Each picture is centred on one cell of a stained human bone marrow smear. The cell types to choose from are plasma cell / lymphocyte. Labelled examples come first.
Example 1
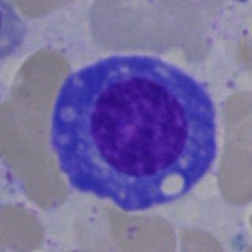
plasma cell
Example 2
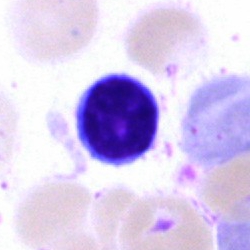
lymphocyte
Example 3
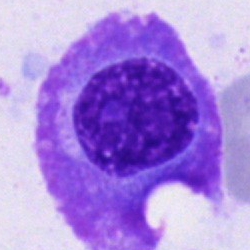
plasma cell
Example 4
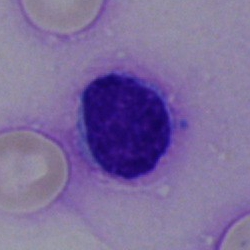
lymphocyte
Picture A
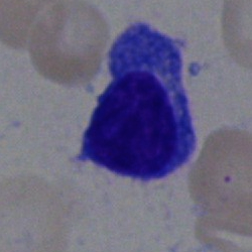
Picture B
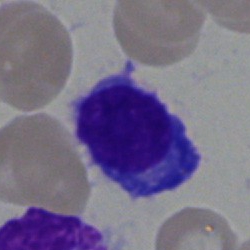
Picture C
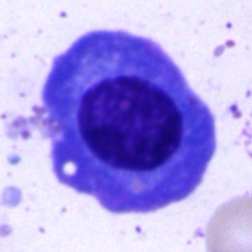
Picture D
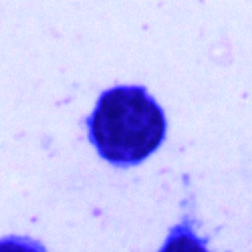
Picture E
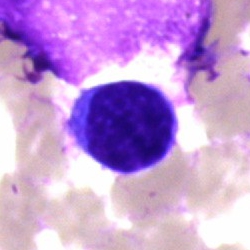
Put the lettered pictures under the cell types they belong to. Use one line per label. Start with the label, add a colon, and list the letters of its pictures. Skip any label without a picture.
plasma cell: A, B, C
lymphocyte: D, E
